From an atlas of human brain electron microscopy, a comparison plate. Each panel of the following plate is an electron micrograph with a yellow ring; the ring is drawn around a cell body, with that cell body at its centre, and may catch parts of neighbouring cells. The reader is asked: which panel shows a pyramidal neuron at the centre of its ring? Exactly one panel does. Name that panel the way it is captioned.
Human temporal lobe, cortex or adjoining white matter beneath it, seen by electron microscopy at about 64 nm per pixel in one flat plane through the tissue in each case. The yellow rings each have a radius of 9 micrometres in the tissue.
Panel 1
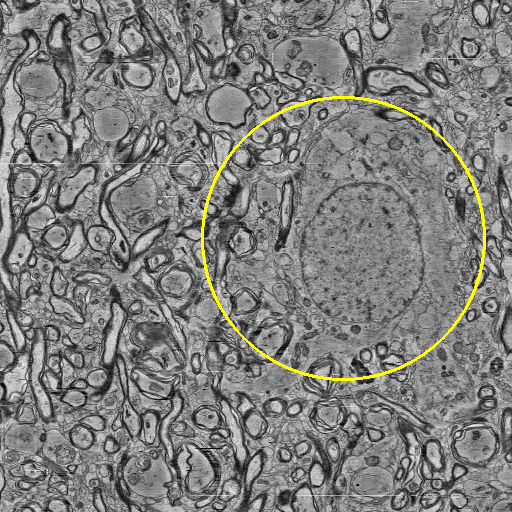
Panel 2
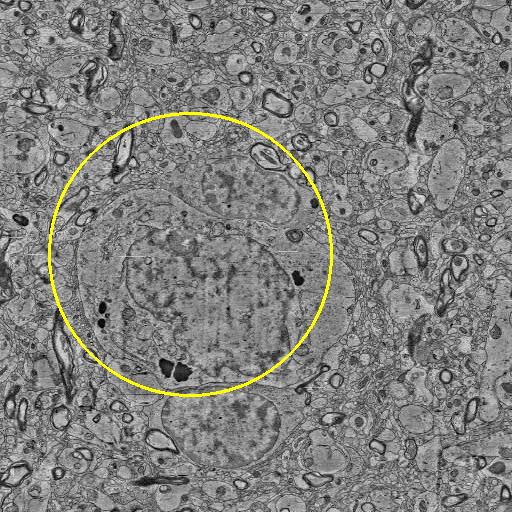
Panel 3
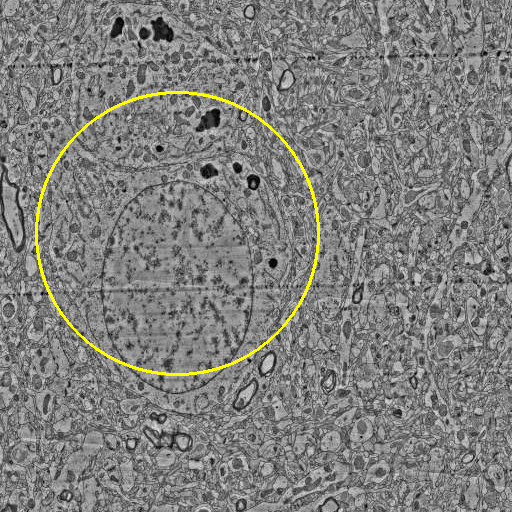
Panel 3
